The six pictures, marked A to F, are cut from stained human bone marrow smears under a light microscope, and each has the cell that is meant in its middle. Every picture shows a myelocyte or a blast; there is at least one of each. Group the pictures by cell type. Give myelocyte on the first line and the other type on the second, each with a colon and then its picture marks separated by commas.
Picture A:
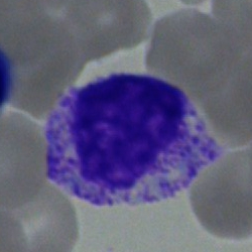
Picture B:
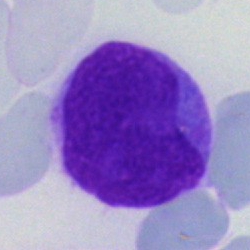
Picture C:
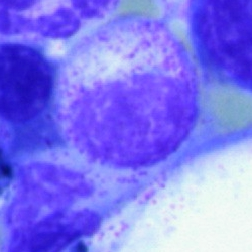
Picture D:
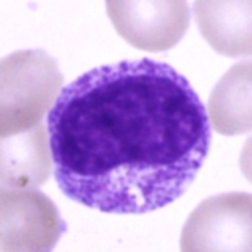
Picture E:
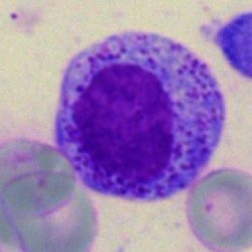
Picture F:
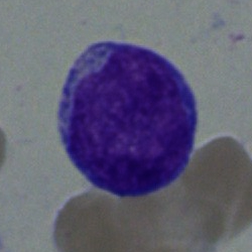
myelocyte: A, C, D, E
blast: B, F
